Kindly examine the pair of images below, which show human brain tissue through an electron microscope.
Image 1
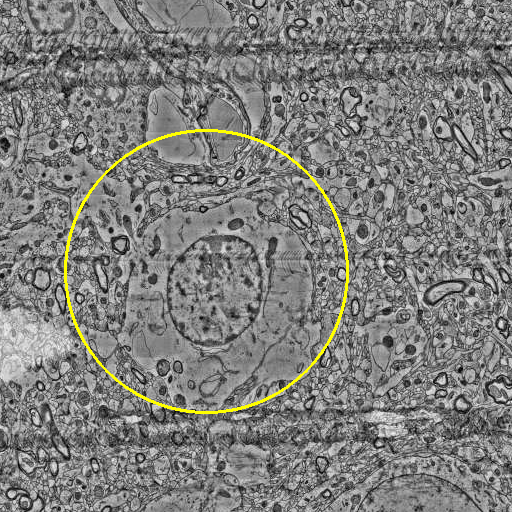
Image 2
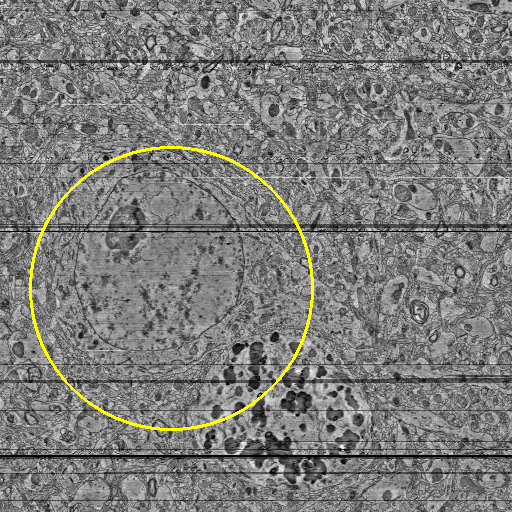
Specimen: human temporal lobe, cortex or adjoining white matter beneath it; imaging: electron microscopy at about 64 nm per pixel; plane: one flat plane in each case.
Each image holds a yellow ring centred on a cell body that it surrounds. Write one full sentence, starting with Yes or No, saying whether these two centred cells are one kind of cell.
No, the cells at the centres of the yellow rings belong to two kinds of cell.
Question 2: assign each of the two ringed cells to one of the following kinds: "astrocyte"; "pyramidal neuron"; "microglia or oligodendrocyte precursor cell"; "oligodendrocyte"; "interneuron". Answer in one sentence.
The two cells are an astrocyte in the first picture and a pyramidal neuron in the second.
